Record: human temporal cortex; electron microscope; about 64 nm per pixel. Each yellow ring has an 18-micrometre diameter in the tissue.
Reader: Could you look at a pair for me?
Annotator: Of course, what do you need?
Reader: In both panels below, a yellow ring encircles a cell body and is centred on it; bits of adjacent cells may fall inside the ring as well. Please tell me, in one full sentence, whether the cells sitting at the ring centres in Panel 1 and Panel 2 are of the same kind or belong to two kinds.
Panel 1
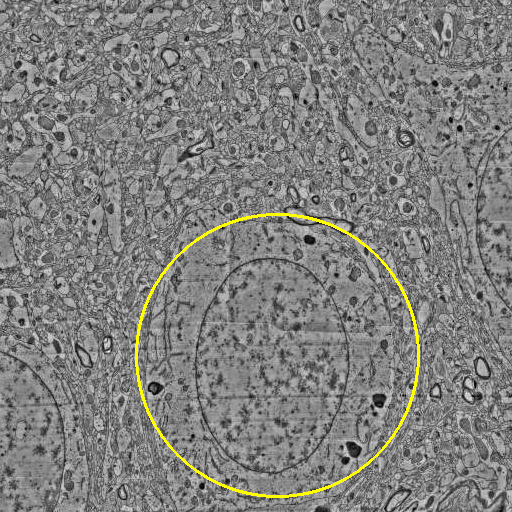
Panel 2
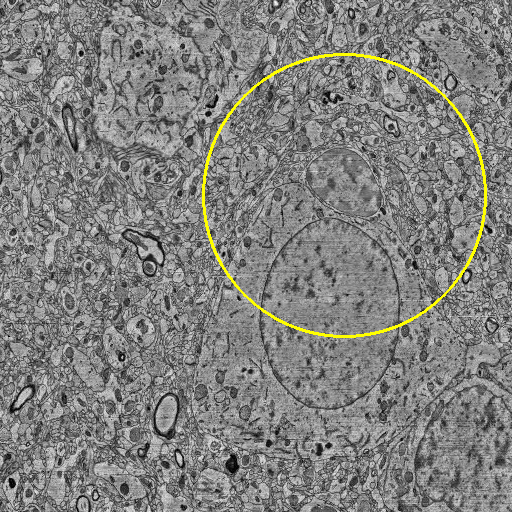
The cell at the ring's centre in Panel 1 and the one in Panel 2 belong to two kinds.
